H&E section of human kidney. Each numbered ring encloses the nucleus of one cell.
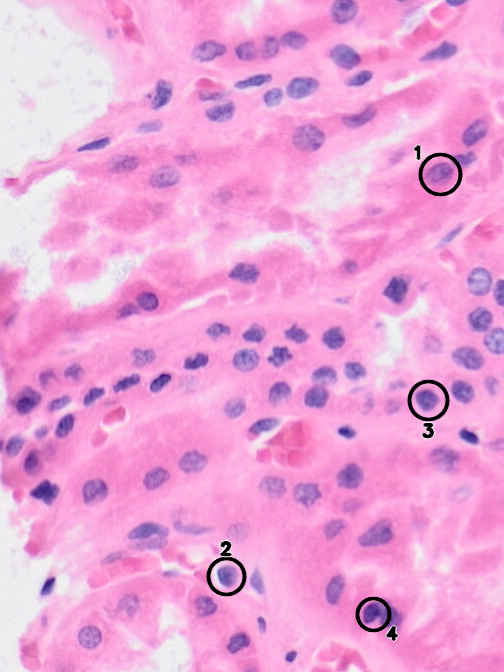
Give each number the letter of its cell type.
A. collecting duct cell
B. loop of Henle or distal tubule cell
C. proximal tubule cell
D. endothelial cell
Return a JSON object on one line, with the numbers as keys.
{"1": "C", "2": "D", "3": "B", "4": "C"}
